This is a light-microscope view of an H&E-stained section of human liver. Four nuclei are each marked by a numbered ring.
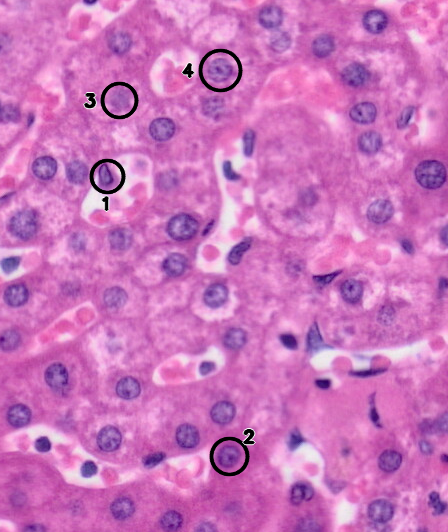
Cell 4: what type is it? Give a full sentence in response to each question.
The cell marked with the number 4 is a hepatocyte.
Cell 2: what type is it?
The cell bearing label 2 corresponds to a hepatocyte.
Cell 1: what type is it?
In this section, the cell numbered 1 is a Kupffer cell.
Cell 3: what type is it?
Here the cell numbered 3 is a hepatocyte.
